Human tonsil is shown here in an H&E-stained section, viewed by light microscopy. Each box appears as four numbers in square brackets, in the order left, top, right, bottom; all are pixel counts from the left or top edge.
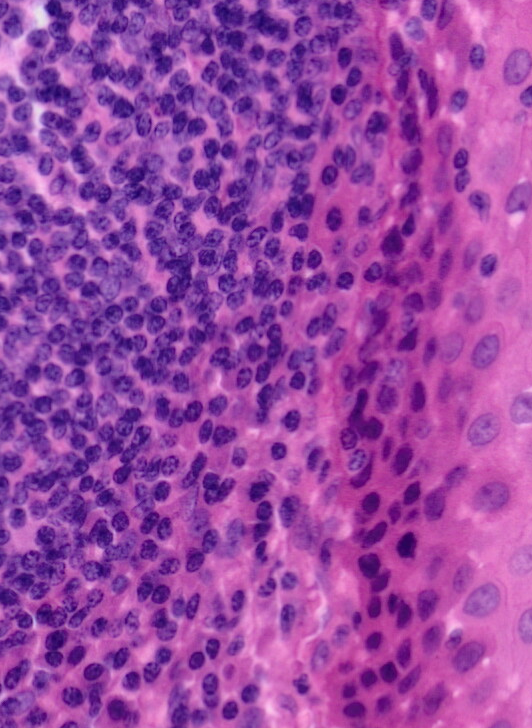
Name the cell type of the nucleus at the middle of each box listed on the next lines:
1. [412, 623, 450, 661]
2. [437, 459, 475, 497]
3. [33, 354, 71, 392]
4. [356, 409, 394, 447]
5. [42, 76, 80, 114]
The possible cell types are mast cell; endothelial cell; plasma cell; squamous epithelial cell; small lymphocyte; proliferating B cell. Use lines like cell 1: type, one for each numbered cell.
cell 1: squamous epithelial cell
cell 2: squamous epithelial cell
cell 3: small lymphocyte
cell 4: squamous epithelial cell
cell 5: small lymphocyte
